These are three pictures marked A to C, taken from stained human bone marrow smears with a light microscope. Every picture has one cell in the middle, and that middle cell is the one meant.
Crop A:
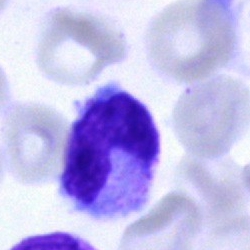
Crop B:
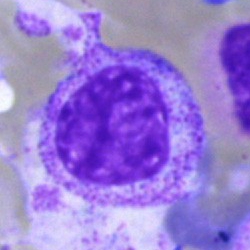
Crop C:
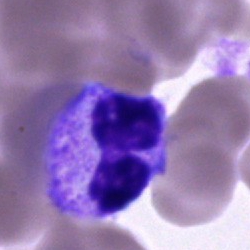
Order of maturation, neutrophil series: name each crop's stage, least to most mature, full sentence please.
From least to most mature, the crops are ordered crop B (a myelocyte), crop A (a band neutrophil) and crop C (a segmented neutrophil).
